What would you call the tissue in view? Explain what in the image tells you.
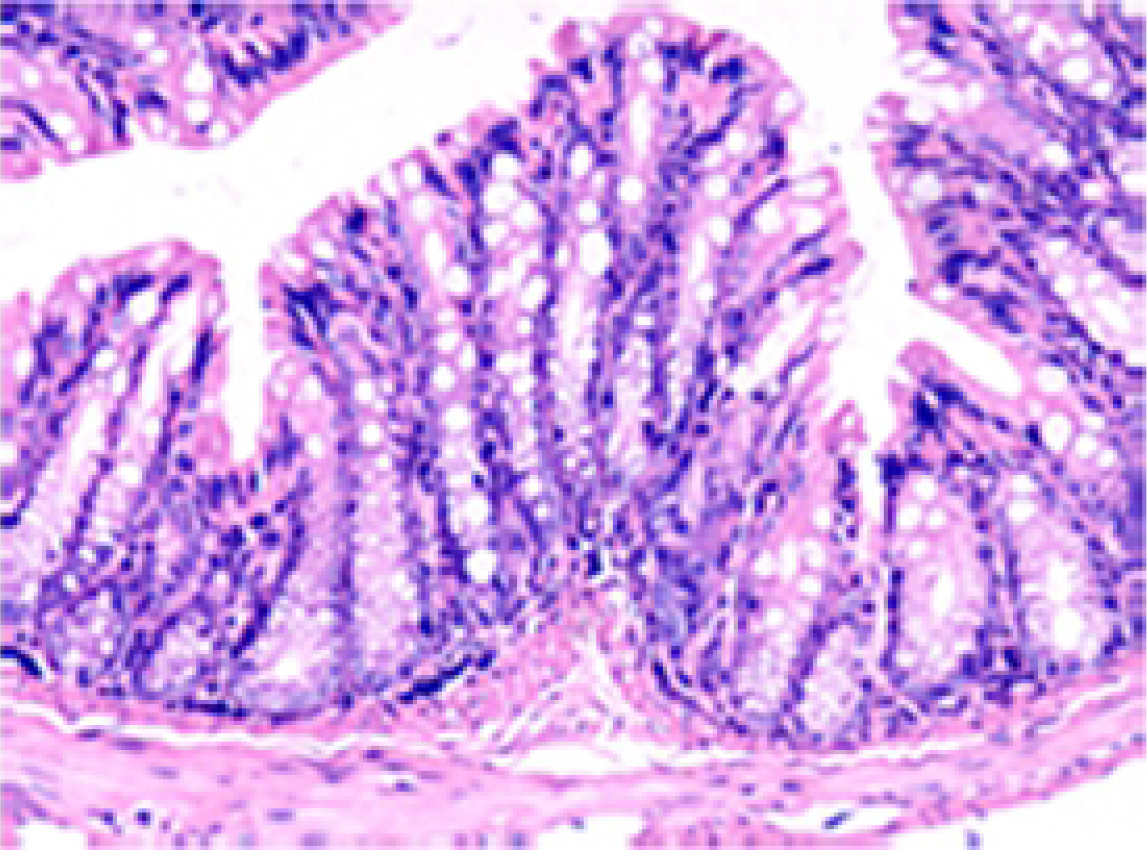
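Long straight tubular glands stand side by side perpendicular to the surface. The glands are lined by many clear goblet-like cells. A thin pink muscular layer runs beneath the glands.
Answer: colon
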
